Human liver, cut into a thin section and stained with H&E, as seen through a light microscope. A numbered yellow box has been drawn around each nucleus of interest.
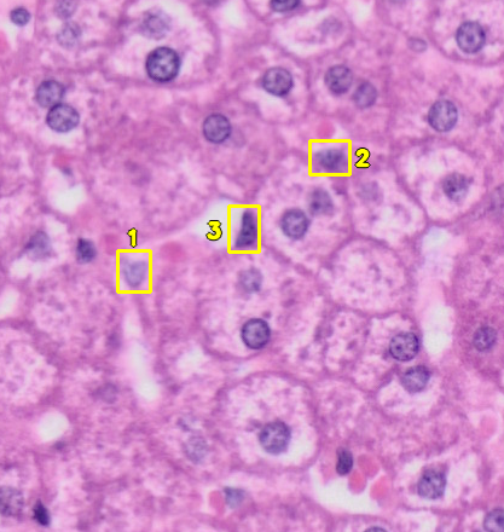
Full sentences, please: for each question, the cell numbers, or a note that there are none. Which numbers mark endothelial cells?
The cells numbered 2 and 3 are, by type, endothelial cells.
